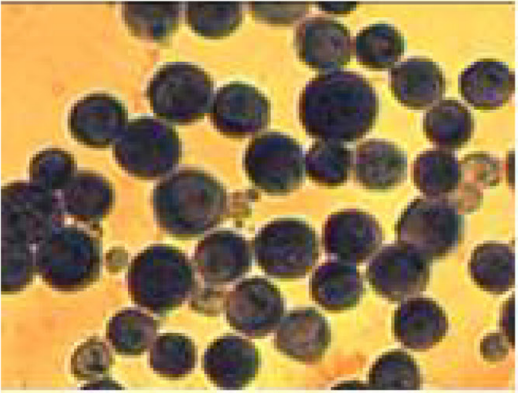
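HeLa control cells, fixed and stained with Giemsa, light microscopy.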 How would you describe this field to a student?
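Nearly all of them are deeply and evenly stained dark purple-blue, so that nucleus and cytoplasm are hard to tell apart. Each has a smooth round outline with a thin light rim. A few smaller, paler cells with granular contents are scattered among the dark ones, but they are a minority.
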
